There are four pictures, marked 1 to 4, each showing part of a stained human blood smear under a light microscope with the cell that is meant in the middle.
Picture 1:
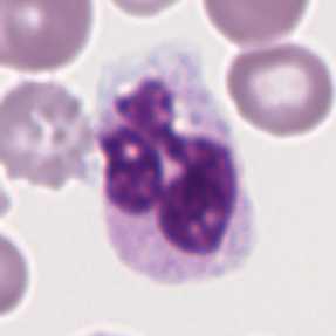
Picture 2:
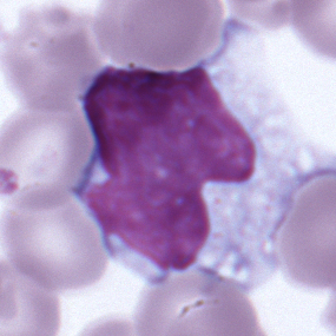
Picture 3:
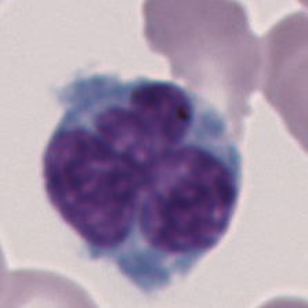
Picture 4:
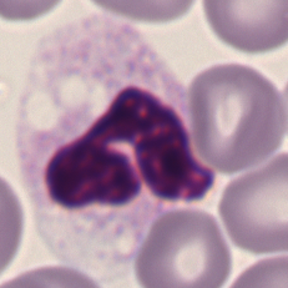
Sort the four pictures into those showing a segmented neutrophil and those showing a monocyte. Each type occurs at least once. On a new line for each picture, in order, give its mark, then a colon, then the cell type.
1: segmented neutrophil
2: monocyte
3: monocyte
4: segmented neutrophil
